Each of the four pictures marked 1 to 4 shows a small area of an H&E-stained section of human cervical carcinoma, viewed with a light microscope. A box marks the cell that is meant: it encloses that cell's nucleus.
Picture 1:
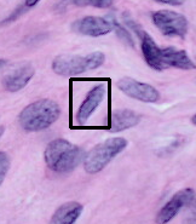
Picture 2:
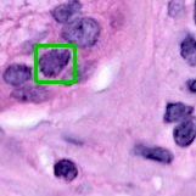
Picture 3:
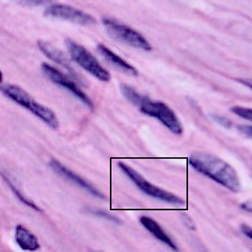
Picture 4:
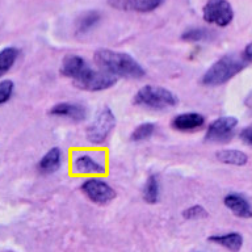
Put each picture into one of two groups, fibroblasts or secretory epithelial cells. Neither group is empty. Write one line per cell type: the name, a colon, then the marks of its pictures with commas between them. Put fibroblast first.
fibroblast: 1, 3, 4
secretory epithelial cell: 2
